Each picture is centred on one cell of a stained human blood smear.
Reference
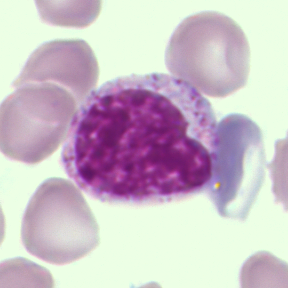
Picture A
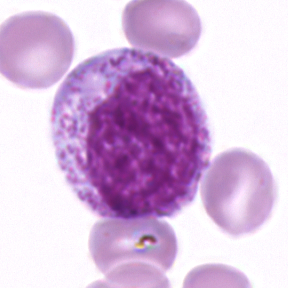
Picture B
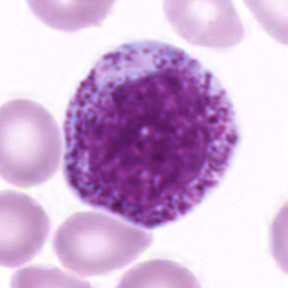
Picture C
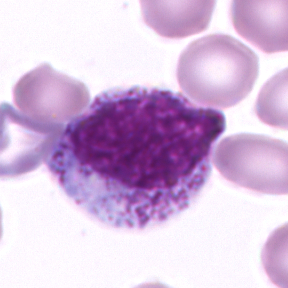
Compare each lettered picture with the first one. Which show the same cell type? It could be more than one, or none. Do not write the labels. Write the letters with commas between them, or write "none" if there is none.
none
